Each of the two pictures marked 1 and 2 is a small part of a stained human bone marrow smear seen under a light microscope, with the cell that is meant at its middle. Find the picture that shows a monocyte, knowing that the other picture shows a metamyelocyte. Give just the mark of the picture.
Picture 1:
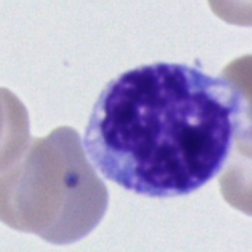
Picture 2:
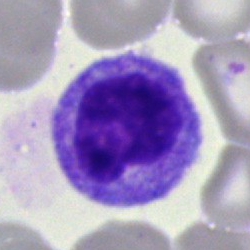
1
